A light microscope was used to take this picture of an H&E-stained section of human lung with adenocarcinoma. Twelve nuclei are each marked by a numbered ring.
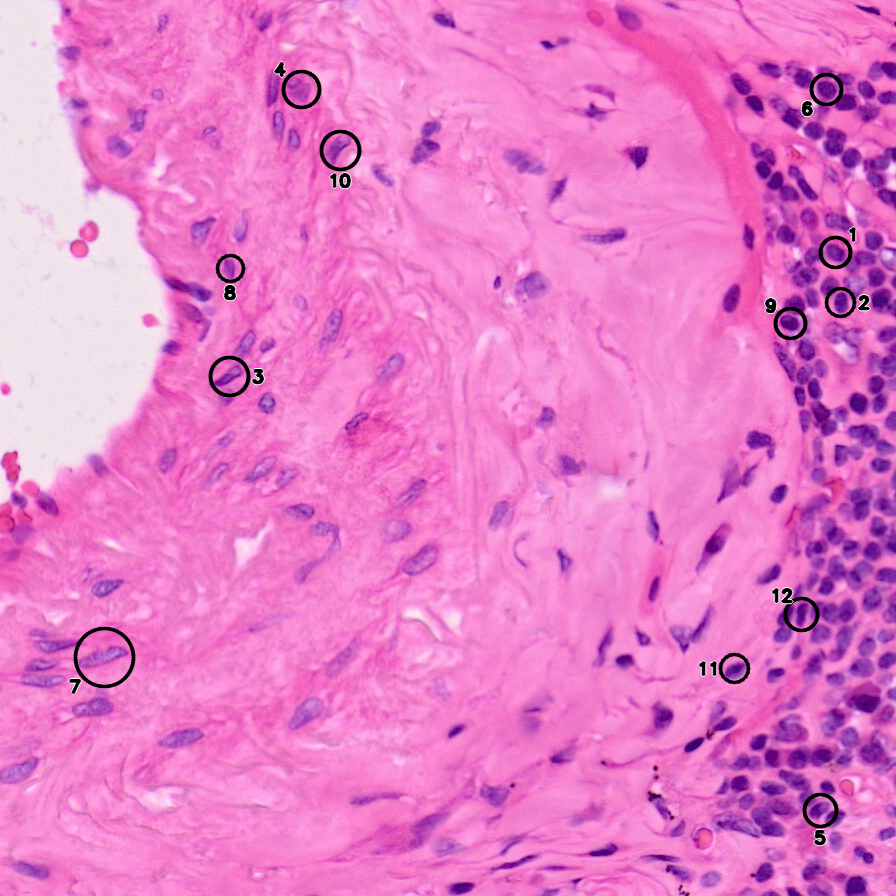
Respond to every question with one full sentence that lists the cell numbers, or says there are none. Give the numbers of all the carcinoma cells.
Among the cells with numbered nuclei there are no carcinoma cells.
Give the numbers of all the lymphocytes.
The cells that the numbers 1, 2, 5, 6, 9, 11 and 12 belong to are lymphocytes.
